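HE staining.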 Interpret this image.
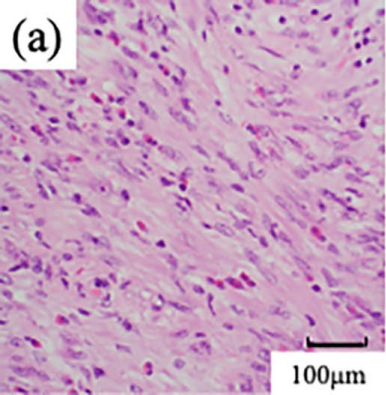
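Spindle-shaped cells with elongated, oval to tapered purple nuclei lie in loose streams within a pale pink, fibrillar stroma. The nuclei run roughly in one direction, giving the tissue a fascicular look. Among them are scattered small cells with round, dark nuclei, and some rounder cells with more pink cytoplasm and off-centre nuclei. No glands or epithelium are seen.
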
